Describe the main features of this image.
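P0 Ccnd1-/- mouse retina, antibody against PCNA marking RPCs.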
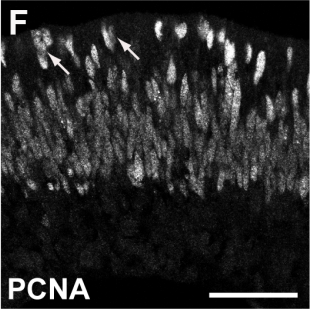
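Most nuclei are spindle-shaped and stacked at different heights, giving a crowded, staggered look. The lower part of the image is darker, with only faint, scattered signal.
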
